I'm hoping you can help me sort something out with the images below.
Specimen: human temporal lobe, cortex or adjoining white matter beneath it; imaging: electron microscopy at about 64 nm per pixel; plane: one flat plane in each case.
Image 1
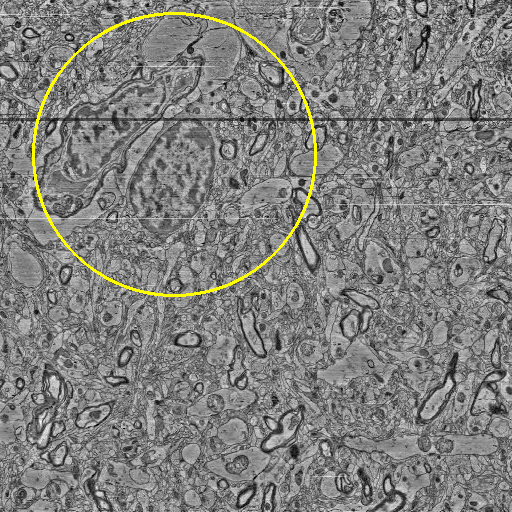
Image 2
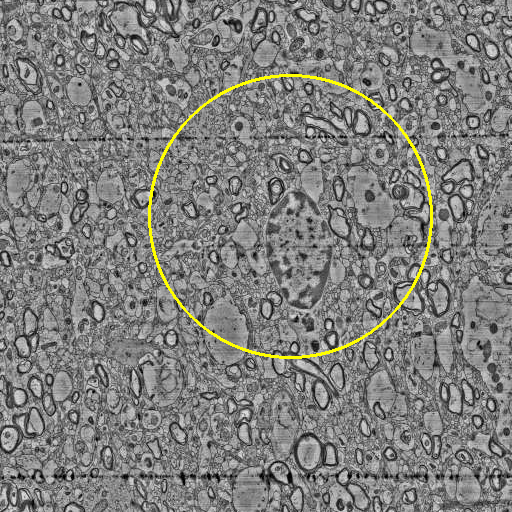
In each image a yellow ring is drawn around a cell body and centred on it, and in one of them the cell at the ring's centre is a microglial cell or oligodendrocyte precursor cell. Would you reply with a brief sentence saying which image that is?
In Image 2, the cell at the centre of the ring is the one you asked about.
